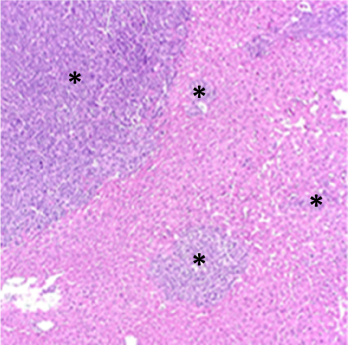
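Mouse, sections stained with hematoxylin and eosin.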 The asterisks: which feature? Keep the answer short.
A: Tumor lesions.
